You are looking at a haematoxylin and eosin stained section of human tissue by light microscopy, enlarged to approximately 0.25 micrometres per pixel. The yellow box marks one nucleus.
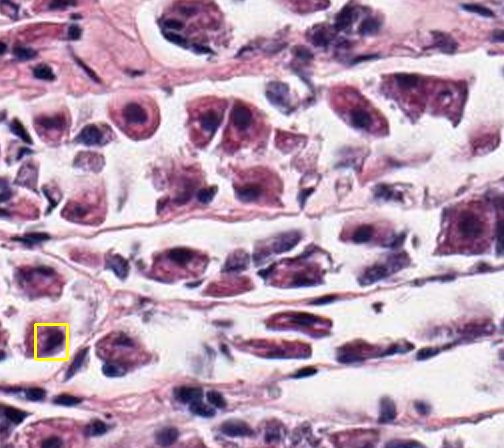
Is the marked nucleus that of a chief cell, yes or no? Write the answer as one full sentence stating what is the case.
No, the marked nucleus does not belong to a chief cell; it belongs to a parietal cell.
